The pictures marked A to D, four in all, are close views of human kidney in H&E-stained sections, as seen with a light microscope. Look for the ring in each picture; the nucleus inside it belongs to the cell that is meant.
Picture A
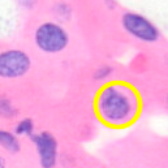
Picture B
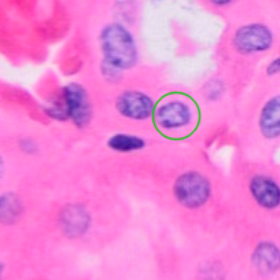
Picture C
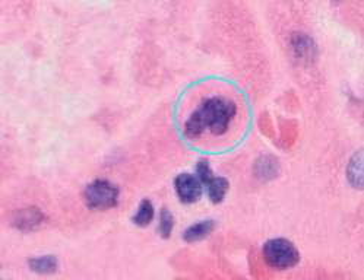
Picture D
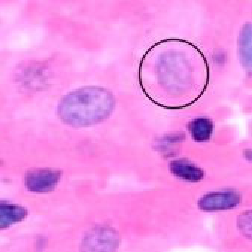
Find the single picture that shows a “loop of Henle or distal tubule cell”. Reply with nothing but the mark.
A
